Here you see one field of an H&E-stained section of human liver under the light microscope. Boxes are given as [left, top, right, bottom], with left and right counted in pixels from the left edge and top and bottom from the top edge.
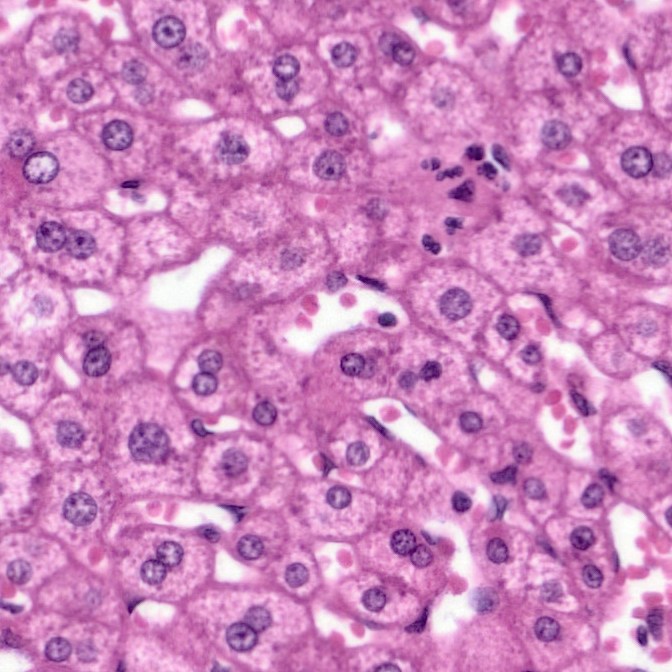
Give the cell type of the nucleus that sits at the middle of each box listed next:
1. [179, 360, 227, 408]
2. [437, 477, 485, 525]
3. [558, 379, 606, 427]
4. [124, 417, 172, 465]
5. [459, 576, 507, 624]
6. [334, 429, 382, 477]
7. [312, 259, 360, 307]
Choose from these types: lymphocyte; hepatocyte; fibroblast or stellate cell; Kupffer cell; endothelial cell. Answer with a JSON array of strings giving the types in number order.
["hepatocyte", "lymphocyte", "Kupffer cell", "hepatocyte", "endothelial cell", "hepatocyte", "Kupffer cell"]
